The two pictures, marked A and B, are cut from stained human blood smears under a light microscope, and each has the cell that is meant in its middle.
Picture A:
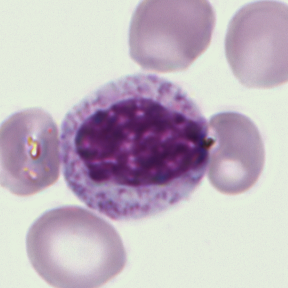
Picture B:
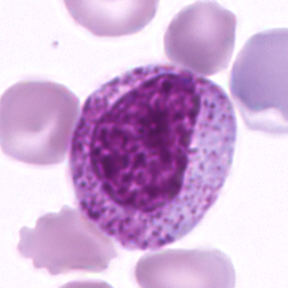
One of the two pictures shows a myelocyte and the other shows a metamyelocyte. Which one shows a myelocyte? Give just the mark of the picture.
B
